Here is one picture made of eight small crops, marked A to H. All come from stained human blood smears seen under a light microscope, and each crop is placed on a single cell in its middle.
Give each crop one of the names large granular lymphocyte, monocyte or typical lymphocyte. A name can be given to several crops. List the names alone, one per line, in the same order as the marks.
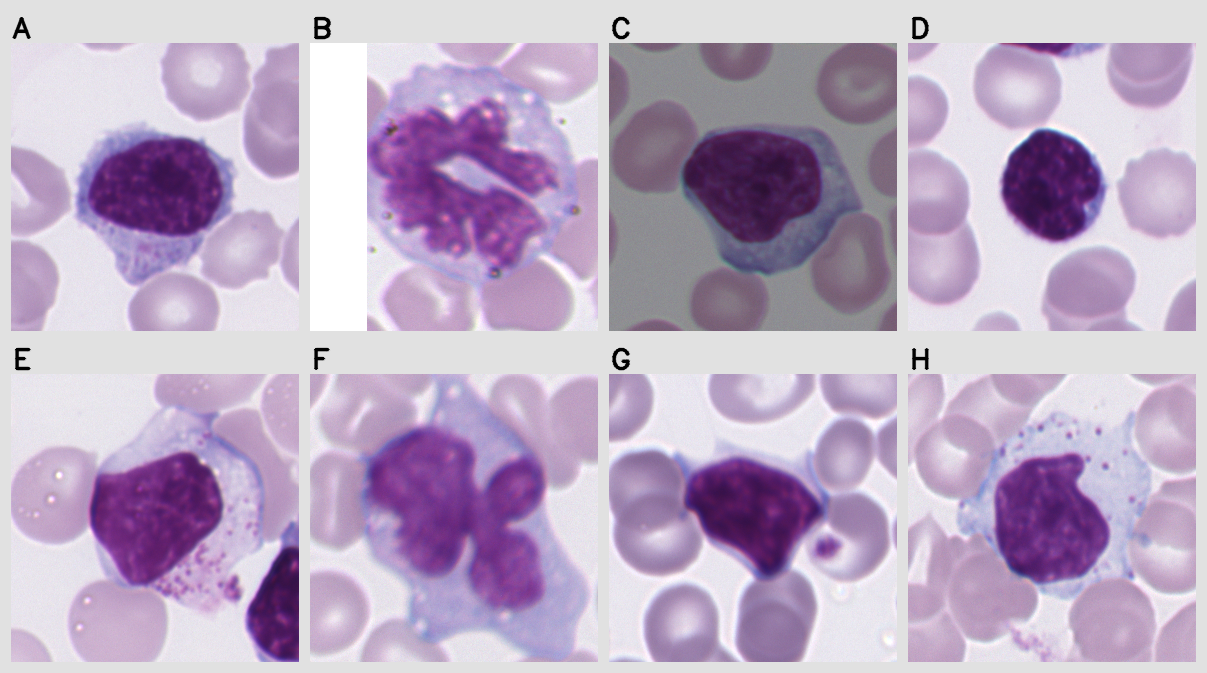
large granular lymphocyte
monocyte
typical lymphocyte
typical lymphocyte
large granular lymphocyte
monocyte
typical lymphocyte
large granular lymphocyte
